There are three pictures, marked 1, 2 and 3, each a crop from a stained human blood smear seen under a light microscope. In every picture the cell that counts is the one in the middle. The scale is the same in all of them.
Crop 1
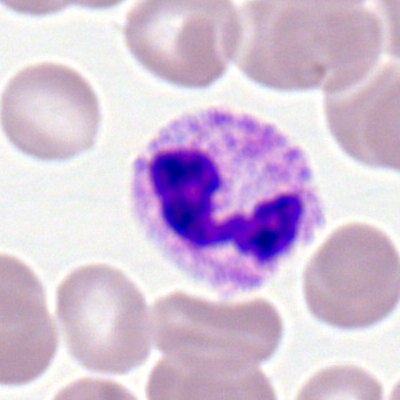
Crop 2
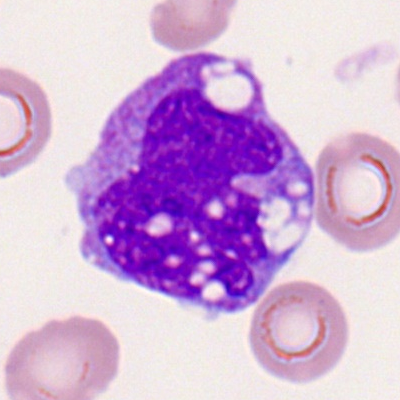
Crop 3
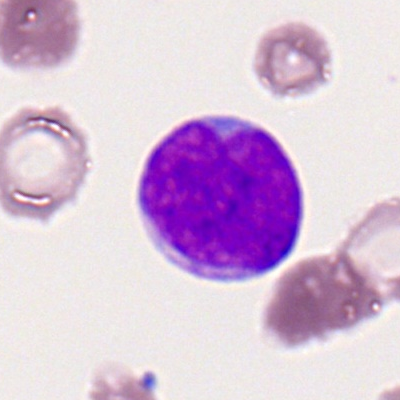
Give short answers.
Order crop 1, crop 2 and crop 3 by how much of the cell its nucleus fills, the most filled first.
3, 2, 1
